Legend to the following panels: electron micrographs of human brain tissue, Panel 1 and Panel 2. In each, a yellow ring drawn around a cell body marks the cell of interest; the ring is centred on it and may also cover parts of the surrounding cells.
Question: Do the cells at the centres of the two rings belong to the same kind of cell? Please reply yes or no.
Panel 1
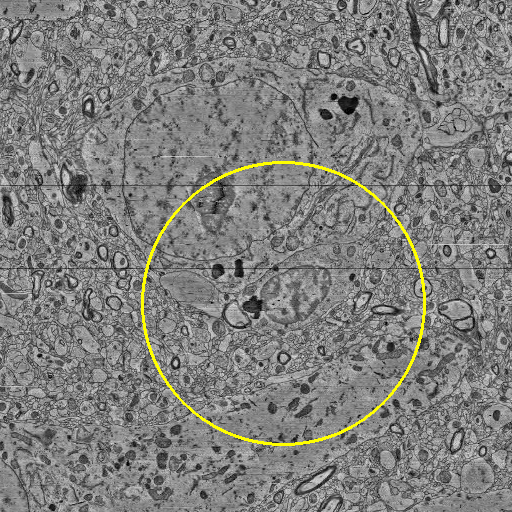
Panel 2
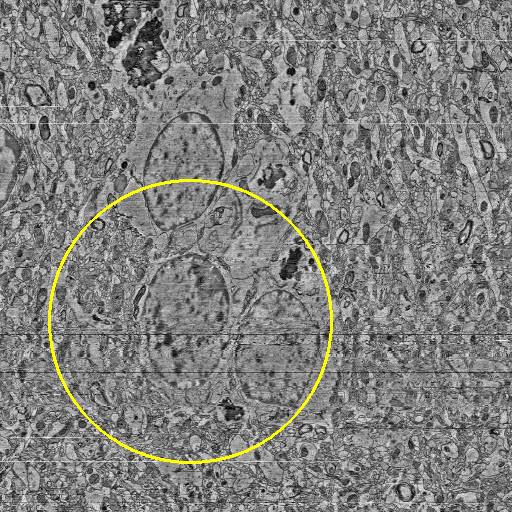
no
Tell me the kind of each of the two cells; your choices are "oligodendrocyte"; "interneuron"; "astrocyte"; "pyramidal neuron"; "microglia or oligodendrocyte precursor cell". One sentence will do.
The ringed cell is an oligodendrocyte in the first picture and an astrocyte in the second picture.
